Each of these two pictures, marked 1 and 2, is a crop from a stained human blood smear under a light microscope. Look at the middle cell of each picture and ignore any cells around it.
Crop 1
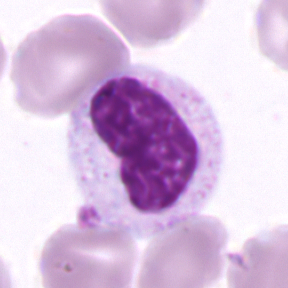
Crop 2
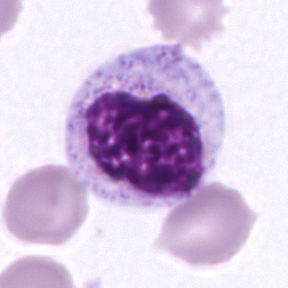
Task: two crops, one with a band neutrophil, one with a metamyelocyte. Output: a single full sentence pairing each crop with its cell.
Crops 1 and 2 are, respectively, a band neutrophil and a metamyelocyte.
